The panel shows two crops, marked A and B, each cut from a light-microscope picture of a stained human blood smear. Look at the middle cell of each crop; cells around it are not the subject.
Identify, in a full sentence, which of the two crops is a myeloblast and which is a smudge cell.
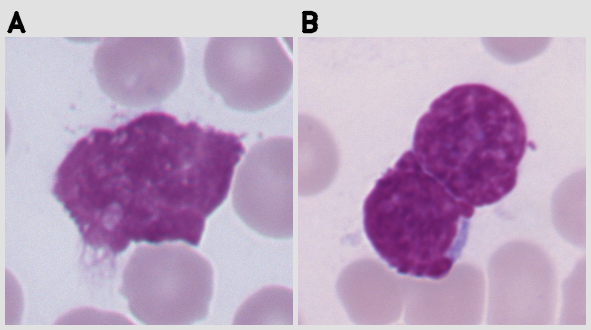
Crop A depicts a smudge cell, and crop B depicts a myeloblast.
